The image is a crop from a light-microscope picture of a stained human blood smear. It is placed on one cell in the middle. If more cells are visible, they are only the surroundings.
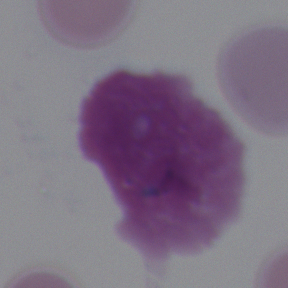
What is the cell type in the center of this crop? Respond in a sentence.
Answering briefly, the cell in the middle is a smudge cell.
